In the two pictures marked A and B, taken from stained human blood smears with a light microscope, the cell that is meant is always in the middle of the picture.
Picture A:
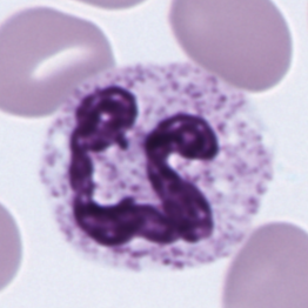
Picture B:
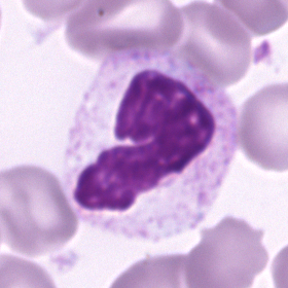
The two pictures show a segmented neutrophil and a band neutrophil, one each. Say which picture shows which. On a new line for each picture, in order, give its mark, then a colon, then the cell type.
A: segmented neutrophil
B: band neutrophil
